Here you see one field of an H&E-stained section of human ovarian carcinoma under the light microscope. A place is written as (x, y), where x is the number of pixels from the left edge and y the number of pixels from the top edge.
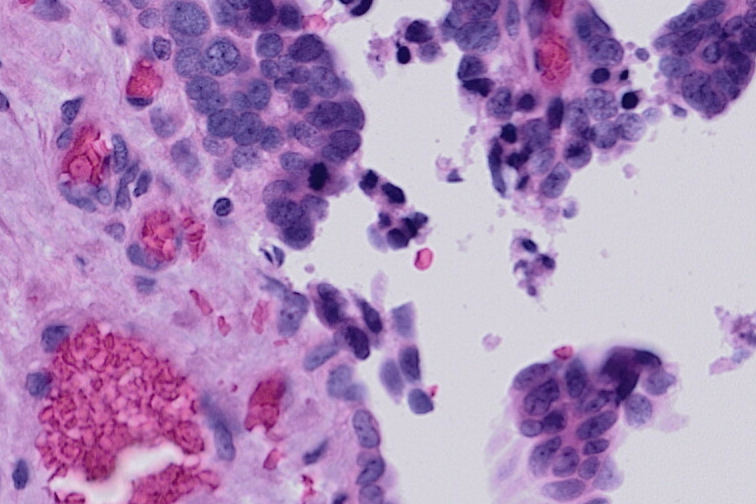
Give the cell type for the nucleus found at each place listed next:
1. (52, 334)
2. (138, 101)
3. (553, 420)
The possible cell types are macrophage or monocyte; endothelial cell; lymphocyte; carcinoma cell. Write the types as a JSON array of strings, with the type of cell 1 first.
["endothelial cell", "endothelial cell", "carcinoma cell"]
